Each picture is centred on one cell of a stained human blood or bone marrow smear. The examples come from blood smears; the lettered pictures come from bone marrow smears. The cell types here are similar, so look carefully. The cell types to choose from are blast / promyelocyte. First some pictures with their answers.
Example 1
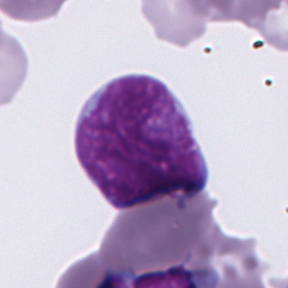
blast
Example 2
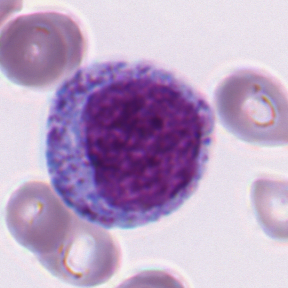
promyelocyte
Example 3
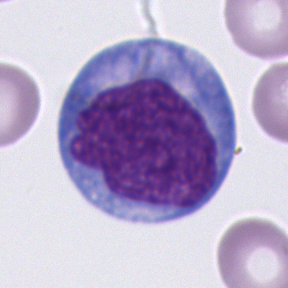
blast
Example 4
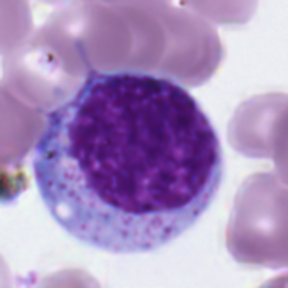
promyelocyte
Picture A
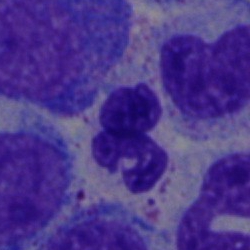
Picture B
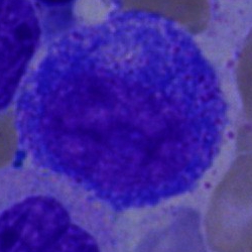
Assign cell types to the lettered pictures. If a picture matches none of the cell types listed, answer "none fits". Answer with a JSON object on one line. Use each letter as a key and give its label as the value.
{"A": "none fits", "B": "promyelocyte"}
